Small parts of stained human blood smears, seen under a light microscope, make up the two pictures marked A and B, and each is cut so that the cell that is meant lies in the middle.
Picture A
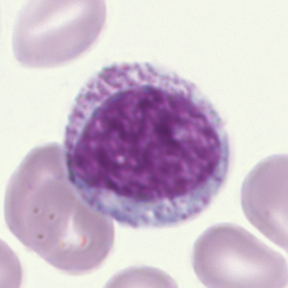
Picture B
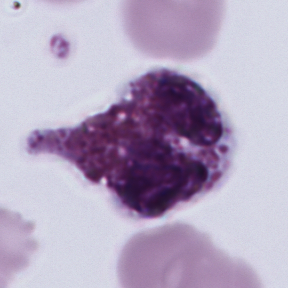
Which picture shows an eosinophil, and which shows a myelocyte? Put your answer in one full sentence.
Picture A is of a myelocyte, and picture B is of an eosinophil.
